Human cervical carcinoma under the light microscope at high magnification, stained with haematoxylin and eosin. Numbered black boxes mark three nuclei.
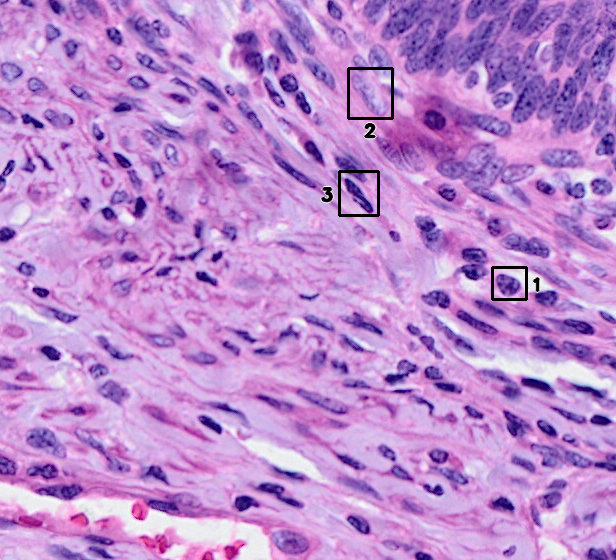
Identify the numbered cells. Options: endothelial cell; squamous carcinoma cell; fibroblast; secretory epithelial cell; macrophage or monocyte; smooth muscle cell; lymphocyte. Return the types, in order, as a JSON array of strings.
["lymphocyte", "endothelial cell", "lymphocyte"]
